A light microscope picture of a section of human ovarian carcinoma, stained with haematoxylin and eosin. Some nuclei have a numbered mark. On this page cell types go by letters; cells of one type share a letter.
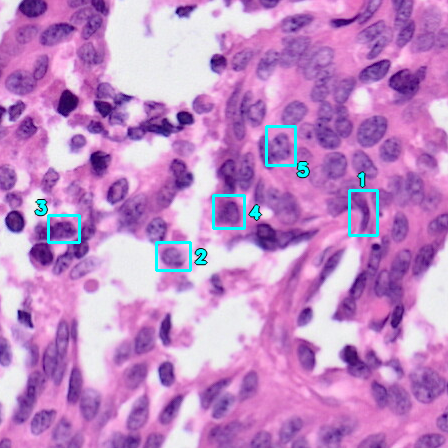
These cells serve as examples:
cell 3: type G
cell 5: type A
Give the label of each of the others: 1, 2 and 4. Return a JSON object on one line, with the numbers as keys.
{"1": "type G", "2": "type A", "4": "type G"}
